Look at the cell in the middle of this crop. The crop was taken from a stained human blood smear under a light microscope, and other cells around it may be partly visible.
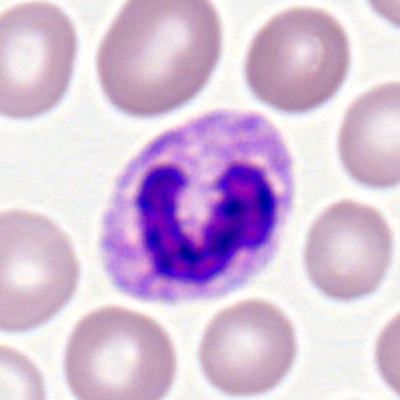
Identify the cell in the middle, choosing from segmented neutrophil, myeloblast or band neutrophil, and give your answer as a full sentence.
In the center of this field lies a band neutrophil.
